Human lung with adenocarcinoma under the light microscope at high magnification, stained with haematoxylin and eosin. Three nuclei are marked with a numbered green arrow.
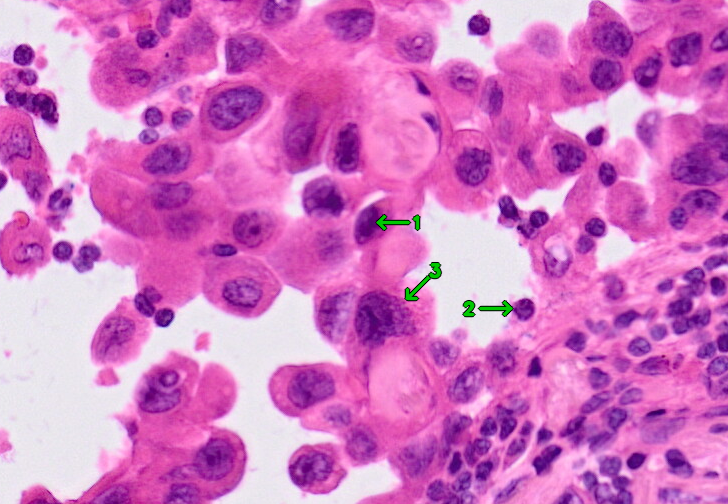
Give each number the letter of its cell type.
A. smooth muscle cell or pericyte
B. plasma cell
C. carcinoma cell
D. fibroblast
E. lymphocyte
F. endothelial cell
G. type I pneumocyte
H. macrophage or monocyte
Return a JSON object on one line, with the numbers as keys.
{"1": "C", "2": "E", "3": "C"}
